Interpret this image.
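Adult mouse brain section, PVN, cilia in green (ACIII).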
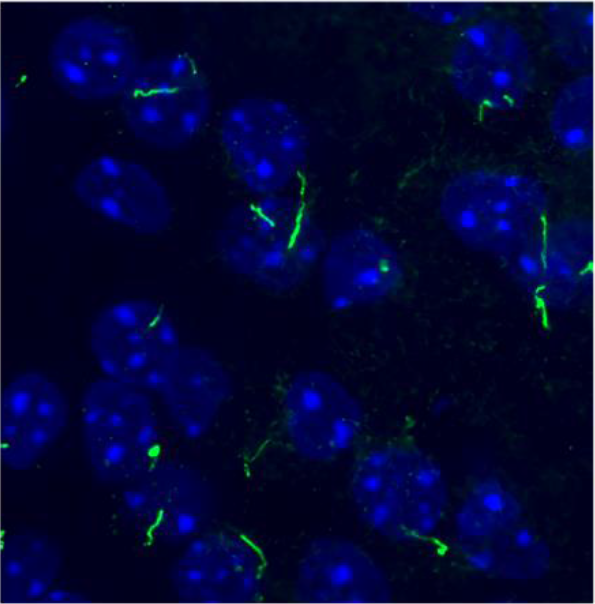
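The nuclei are large, round to oval, with brighter blue spots inside them, and are spaced apart with dark space between. Fine, dim green specks are scattered between the cells.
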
